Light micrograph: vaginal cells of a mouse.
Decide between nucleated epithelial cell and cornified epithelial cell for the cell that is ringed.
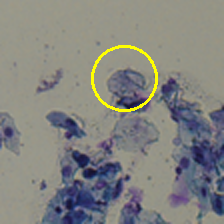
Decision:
I take the ringed cell for a cornified epithelial cell.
